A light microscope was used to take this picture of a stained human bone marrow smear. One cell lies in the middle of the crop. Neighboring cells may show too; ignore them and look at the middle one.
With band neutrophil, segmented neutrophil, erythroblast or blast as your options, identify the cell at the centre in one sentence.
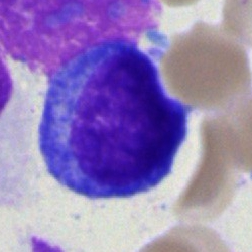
Here the centrally located cell is a blast.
